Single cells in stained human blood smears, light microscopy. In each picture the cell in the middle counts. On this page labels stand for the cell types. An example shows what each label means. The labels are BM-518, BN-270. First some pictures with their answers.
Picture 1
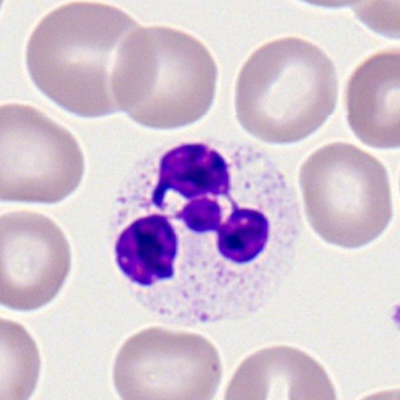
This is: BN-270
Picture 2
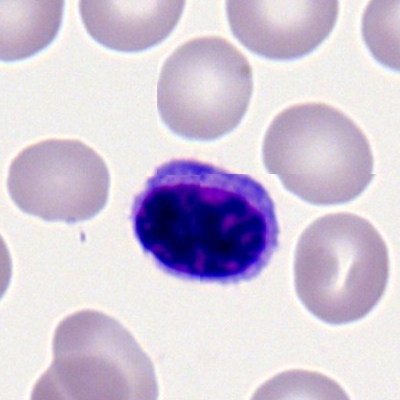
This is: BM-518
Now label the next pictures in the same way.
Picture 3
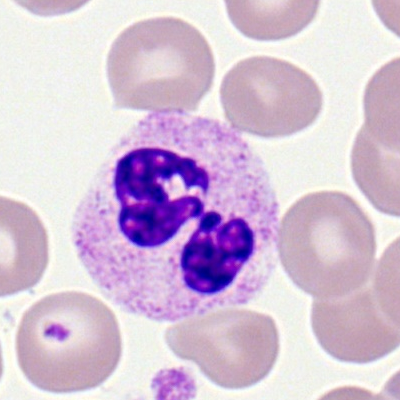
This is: BN-270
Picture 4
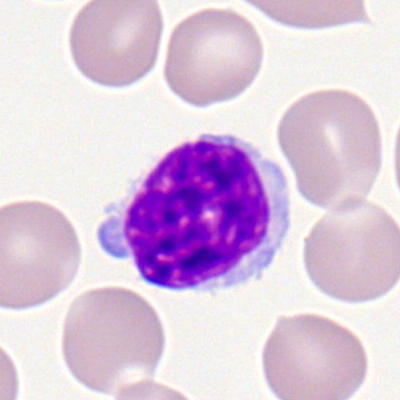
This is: BM-518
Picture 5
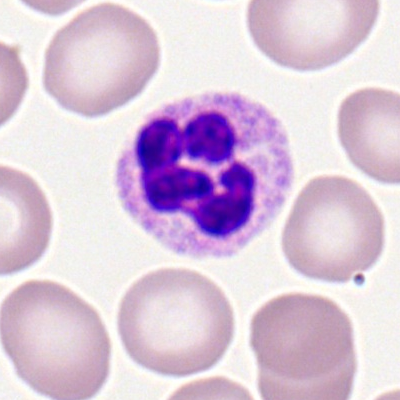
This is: BN-270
